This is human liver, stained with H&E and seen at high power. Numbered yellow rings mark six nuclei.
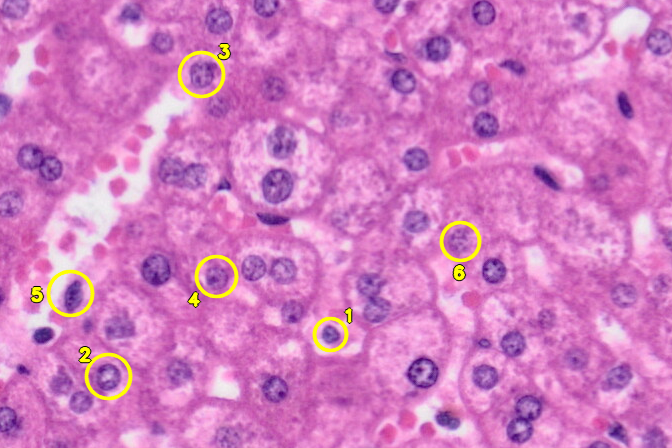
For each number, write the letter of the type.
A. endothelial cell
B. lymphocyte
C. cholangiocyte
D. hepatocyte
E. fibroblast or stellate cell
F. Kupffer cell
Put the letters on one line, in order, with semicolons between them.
B; D; D; D; F; D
